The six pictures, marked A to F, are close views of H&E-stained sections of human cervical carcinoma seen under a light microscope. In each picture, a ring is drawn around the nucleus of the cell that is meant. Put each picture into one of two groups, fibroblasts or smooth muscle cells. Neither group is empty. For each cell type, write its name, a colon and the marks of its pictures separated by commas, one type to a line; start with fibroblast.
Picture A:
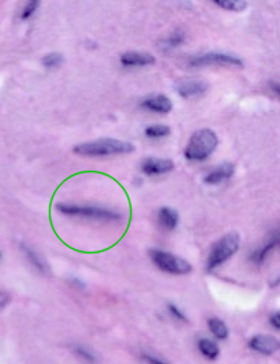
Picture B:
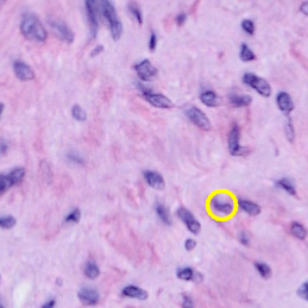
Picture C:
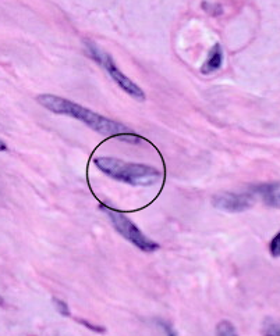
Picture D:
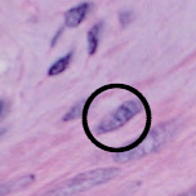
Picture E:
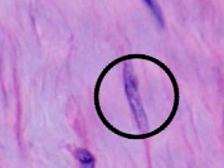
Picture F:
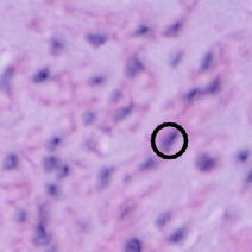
fibroblast: A, C, E
smooth muscle cell: B, D, F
